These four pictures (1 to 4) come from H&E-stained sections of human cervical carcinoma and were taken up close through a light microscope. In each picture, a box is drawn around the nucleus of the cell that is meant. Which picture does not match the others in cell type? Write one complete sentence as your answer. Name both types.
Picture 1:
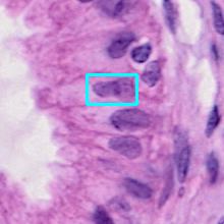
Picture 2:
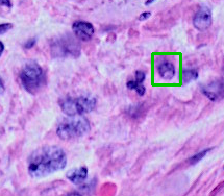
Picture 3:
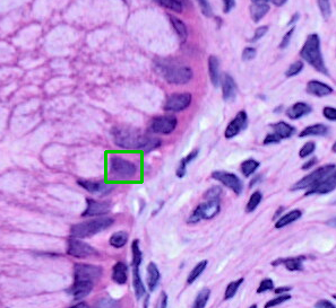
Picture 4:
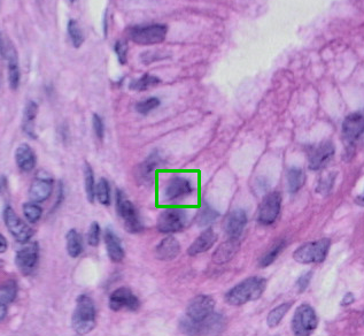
Picture 2 is the odd one out: it shows a “macrophage or monocyte”, while the others show secretory epithelial cells.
